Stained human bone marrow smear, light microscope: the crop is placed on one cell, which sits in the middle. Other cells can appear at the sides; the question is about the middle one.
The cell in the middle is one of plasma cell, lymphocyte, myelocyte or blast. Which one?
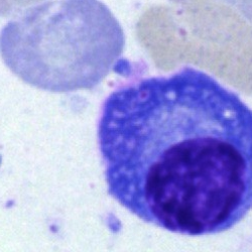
plasma cell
